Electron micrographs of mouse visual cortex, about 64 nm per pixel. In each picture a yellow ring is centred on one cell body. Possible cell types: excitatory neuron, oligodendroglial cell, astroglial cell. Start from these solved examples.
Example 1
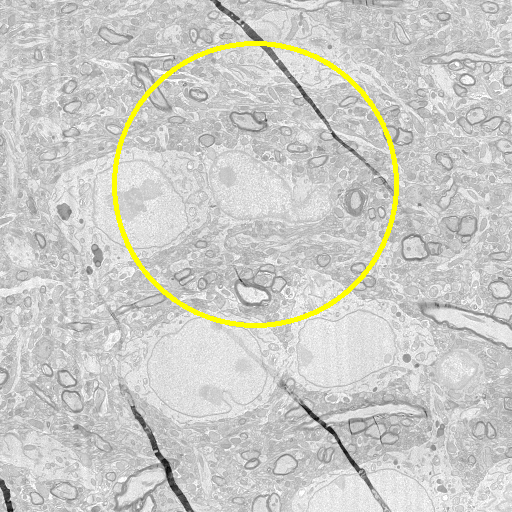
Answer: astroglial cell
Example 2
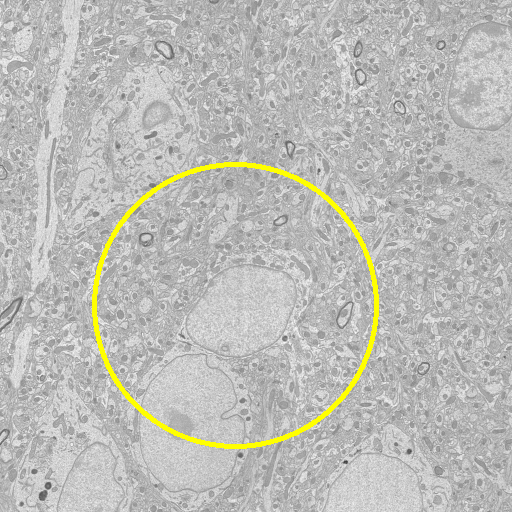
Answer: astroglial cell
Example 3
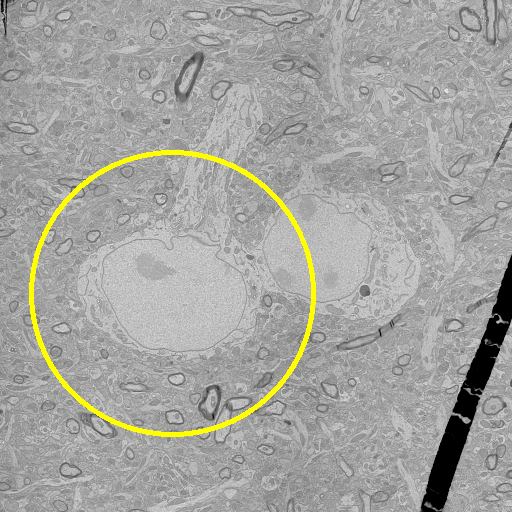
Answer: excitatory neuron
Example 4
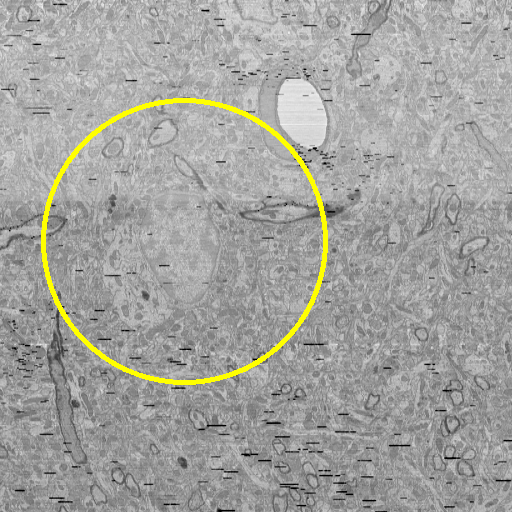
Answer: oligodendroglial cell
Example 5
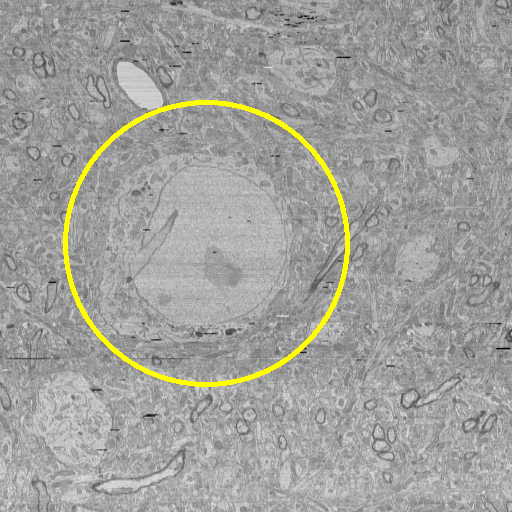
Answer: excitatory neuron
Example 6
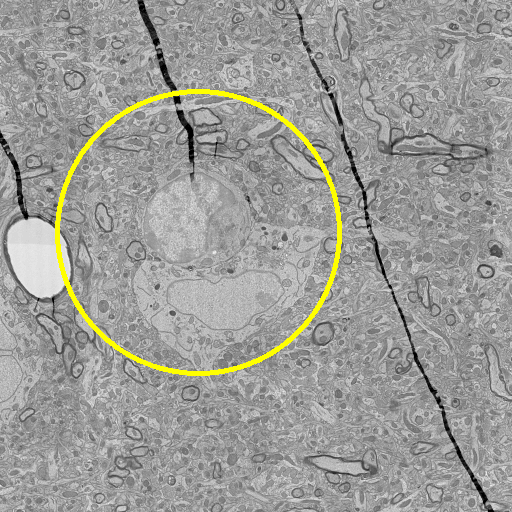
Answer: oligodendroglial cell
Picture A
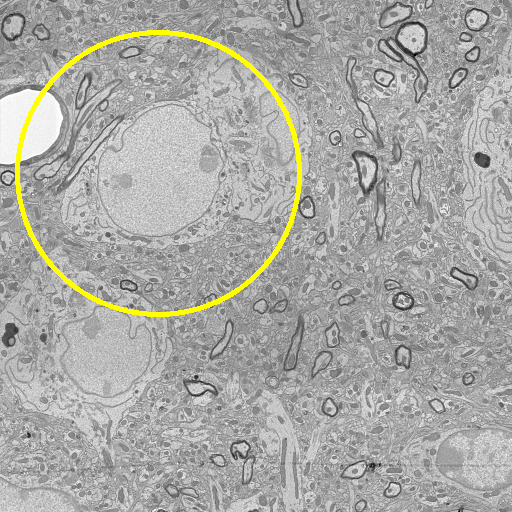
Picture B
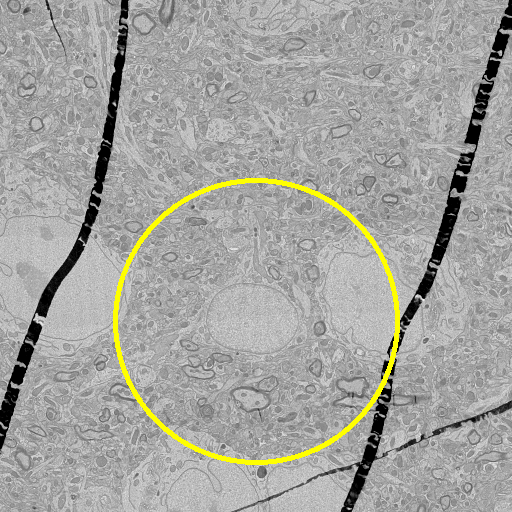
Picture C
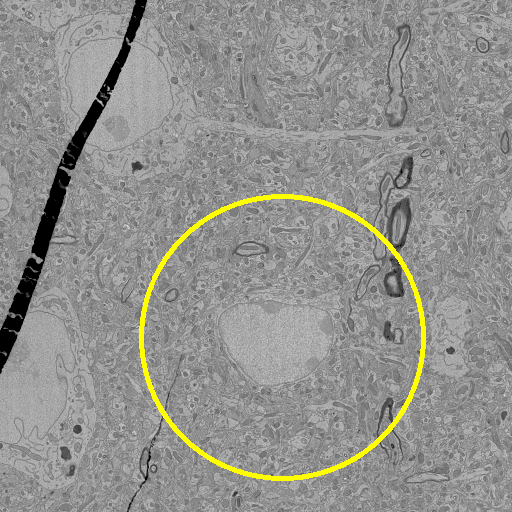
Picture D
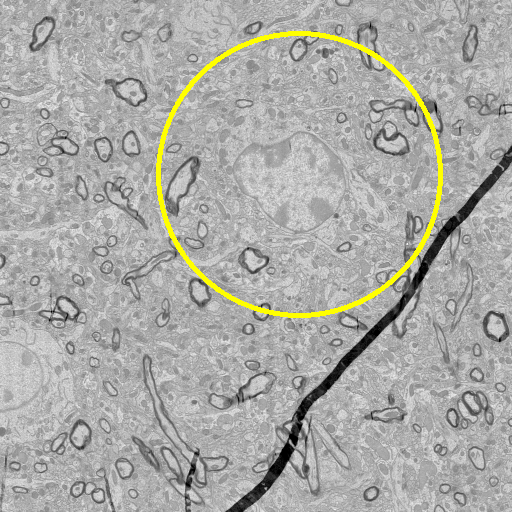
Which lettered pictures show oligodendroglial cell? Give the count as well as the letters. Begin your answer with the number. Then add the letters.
1: D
